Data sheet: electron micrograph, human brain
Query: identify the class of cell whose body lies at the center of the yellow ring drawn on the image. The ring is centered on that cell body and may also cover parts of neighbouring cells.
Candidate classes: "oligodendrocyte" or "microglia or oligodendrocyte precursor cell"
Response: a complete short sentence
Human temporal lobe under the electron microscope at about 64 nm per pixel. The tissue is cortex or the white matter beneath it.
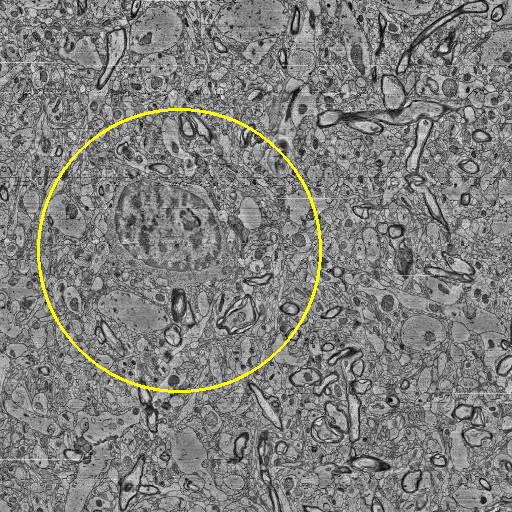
At the center of the ring lies an oligodendrocyte.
